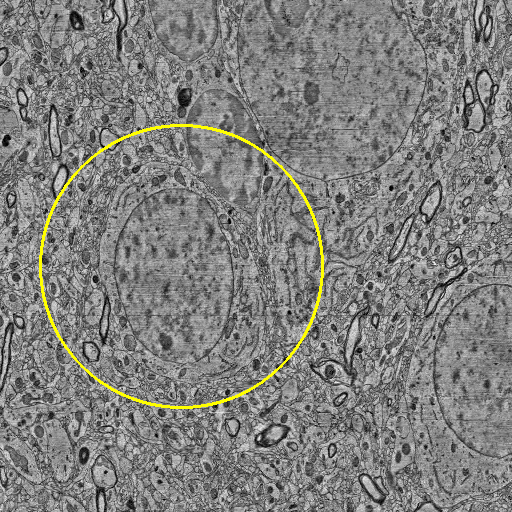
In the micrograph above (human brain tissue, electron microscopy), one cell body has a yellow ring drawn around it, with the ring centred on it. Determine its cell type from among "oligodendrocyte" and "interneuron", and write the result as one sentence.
The cell whose body is ringed is an interneuron.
